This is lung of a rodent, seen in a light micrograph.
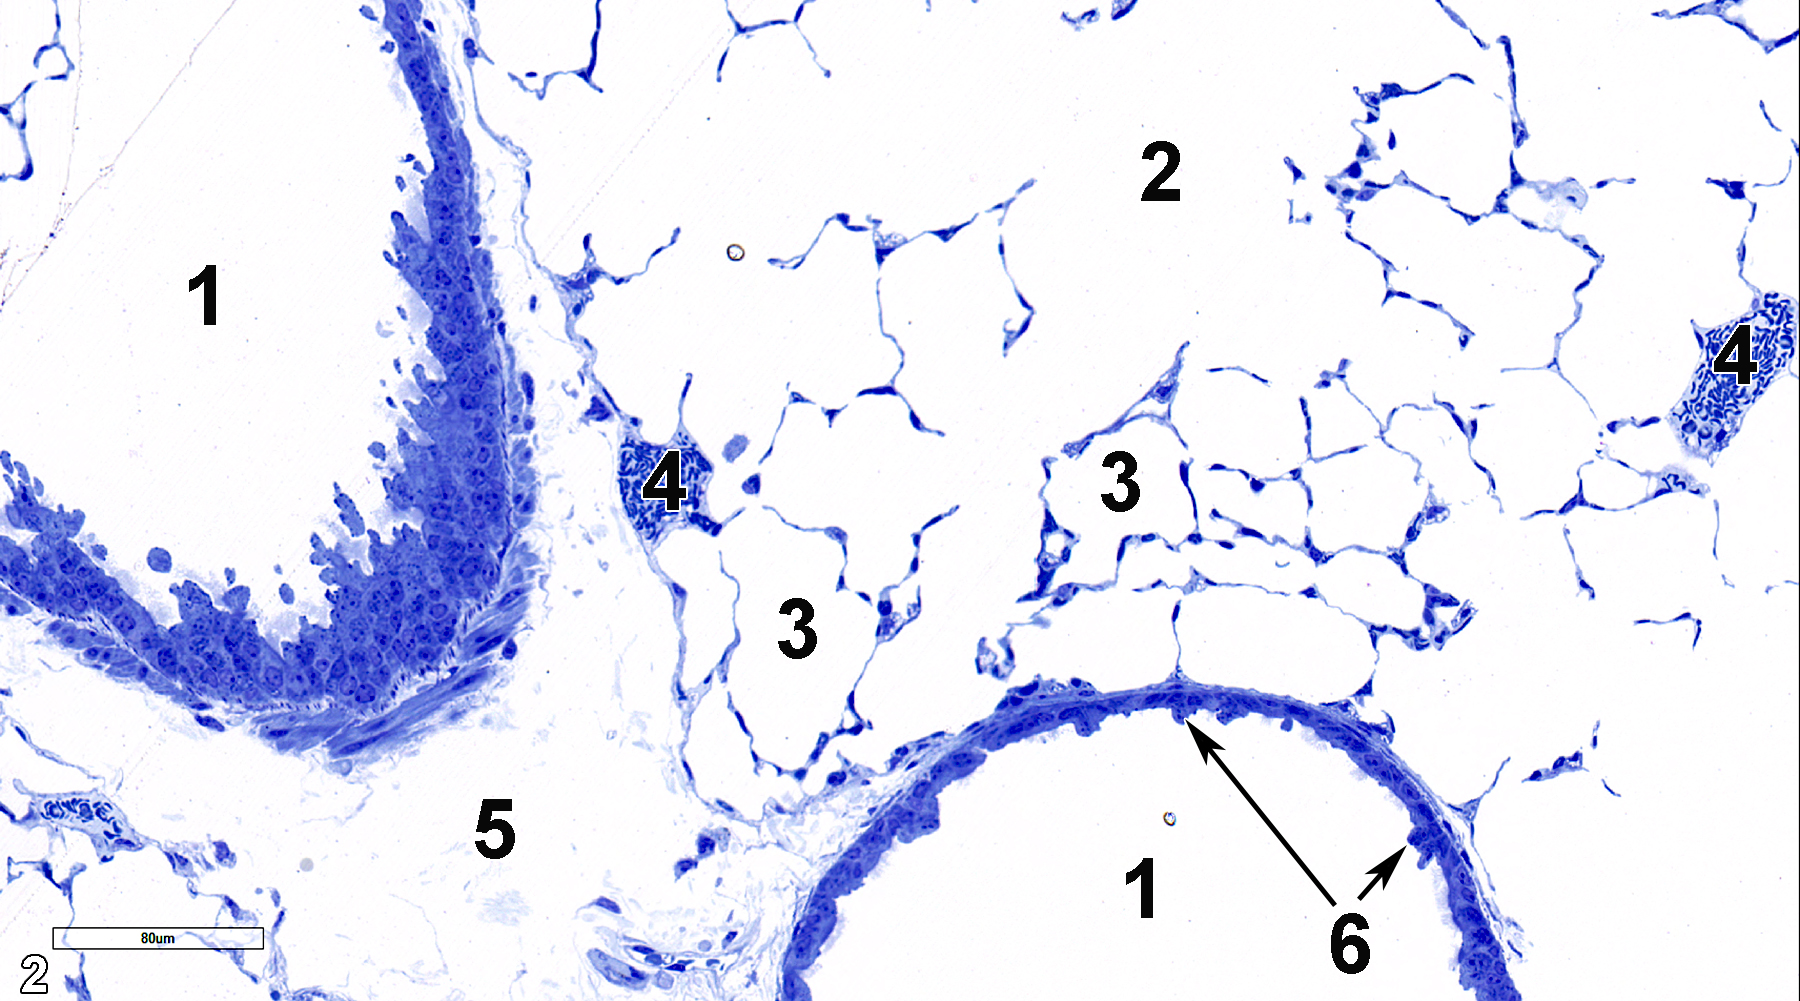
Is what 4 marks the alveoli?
No. The blood vessels.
